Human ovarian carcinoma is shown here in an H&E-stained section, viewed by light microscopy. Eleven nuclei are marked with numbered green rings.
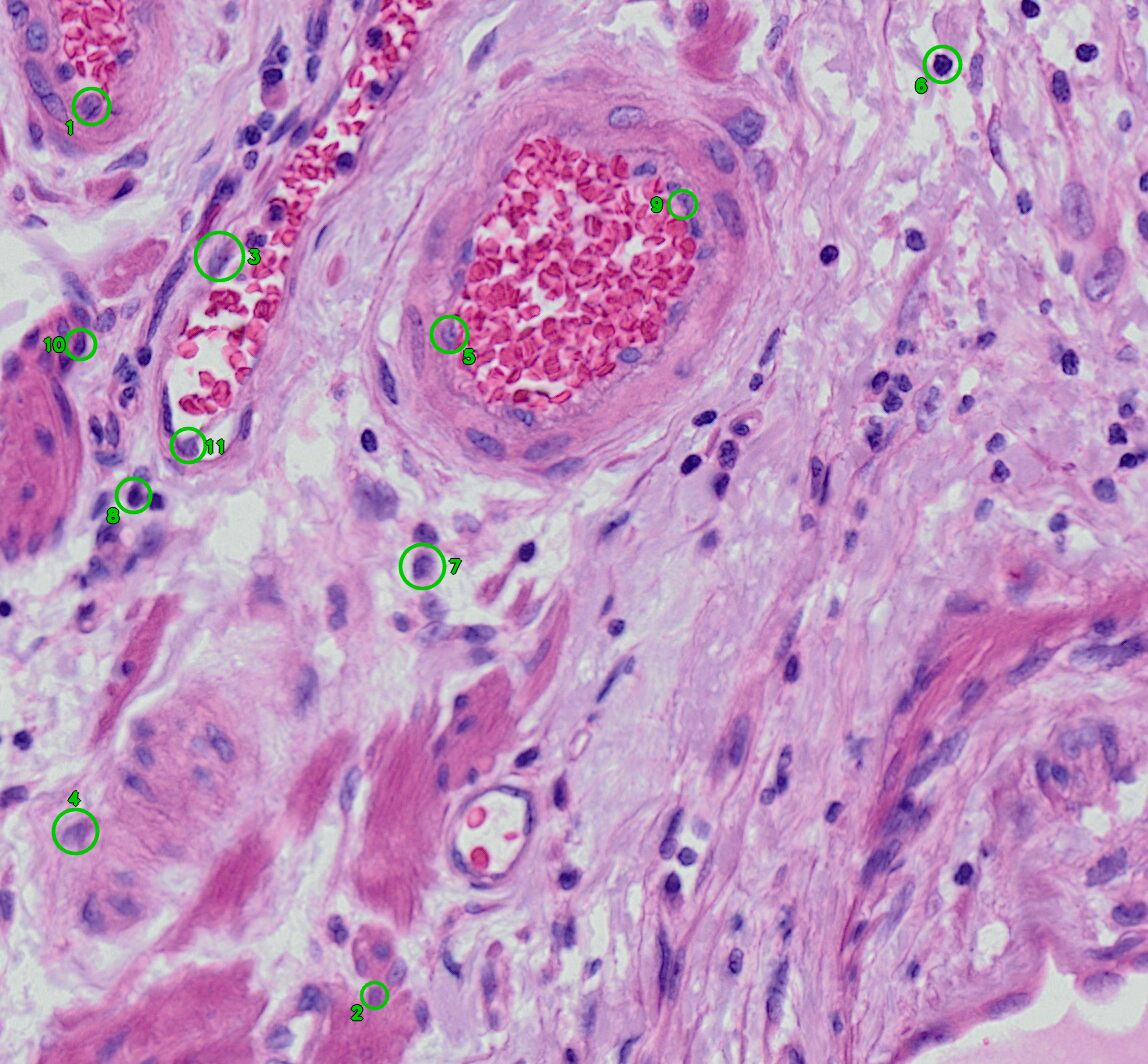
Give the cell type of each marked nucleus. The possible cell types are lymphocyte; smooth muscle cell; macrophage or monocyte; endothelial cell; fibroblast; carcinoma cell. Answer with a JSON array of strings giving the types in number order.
["endothelial cell", "smooth muscle cell", "endothelial cell", "fibroblast", "endothelial cell", "lymphocyte", "macrophage or monocyte", "lymphocyte", "endothelial cell", "smooth muscle cell", "endothelial cell"]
